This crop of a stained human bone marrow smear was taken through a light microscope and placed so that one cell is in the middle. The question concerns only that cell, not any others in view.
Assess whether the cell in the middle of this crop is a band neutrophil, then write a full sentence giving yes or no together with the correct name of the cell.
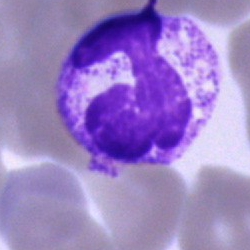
No, the middle cell is not a band neutrophil, it being a segmented neutrophil.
